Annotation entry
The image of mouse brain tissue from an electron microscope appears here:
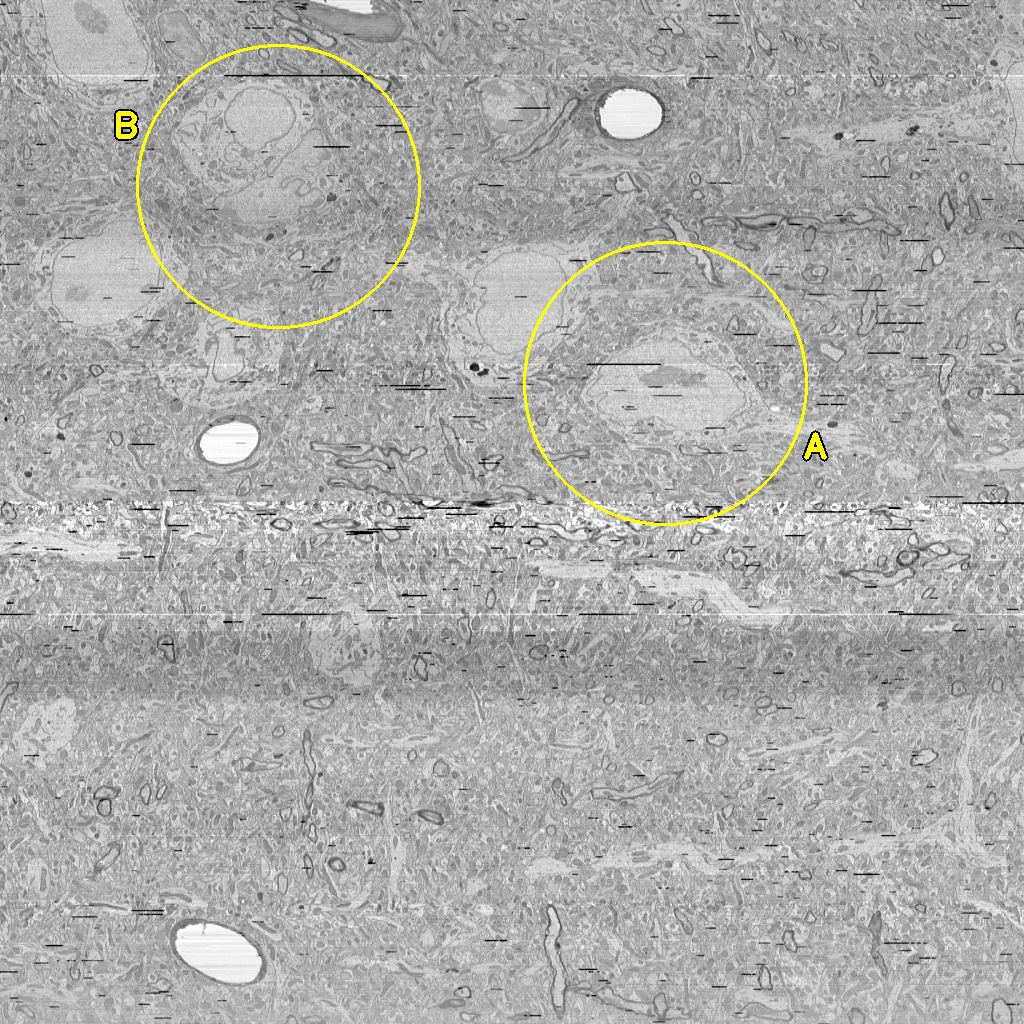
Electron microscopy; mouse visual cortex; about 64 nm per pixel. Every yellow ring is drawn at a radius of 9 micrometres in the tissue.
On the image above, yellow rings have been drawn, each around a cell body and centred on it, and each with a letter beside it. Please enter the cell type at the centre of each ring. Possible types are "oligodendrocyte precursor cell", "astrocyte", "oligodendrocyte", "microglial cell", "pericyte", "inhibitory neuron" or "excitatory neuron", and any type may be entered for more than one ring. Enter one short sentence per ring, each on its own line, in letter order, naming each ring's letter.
The cell that ring A is centred on is an inhibitory neuron.
The cell that ring B is centred on is an oligodendrocyte precursor cell.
